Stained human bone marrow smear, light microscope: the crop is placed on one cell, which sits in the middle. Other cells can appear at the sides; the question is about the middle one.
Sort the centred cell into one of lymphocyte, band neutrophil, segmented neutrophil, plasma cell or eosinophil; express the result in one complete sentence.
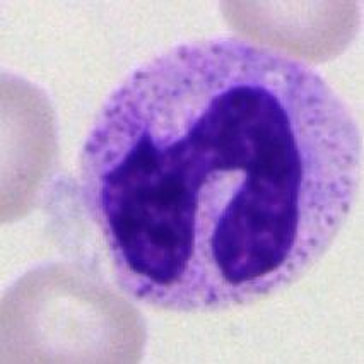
Regarding the central cell, it is a segmented neutrophil.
